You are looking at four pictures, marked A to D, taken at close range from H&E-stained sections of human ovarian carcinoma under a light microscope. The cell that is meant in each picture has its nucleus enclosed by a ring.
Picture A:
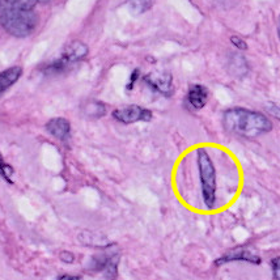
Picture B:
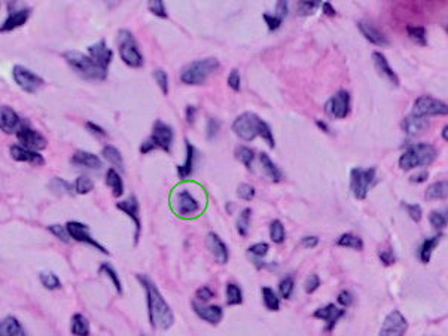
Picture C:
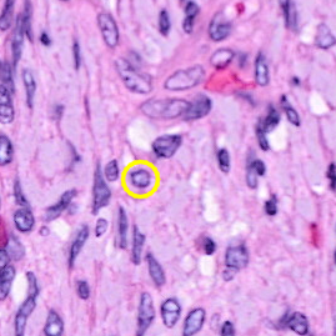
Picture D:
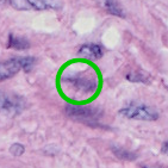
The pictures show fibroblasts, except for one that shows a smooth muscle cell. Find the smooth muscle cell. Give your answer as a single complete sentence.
The cell in picture B is the smooth muscle cell.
